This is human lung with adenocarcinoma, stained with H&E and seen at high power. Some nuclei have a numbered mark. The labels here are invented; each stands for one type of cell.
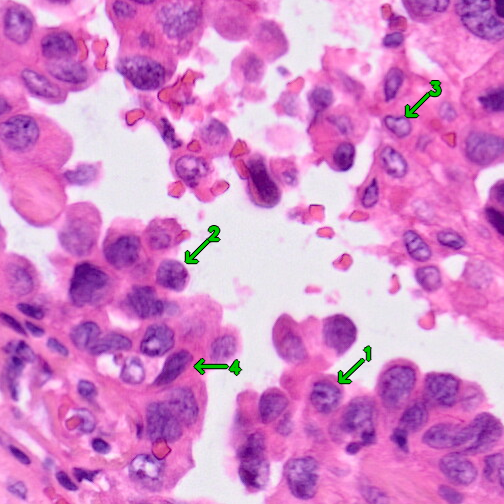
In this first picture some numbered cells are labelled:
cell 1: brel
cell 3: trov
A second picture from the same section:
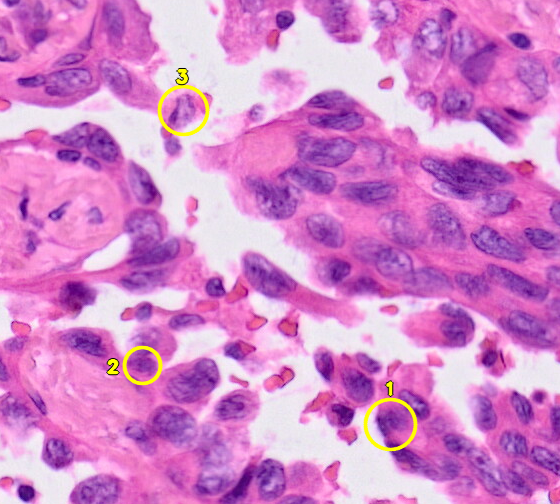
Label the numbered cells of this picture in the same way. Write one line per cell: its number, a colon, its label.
1: brel
2: brel
3: trov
